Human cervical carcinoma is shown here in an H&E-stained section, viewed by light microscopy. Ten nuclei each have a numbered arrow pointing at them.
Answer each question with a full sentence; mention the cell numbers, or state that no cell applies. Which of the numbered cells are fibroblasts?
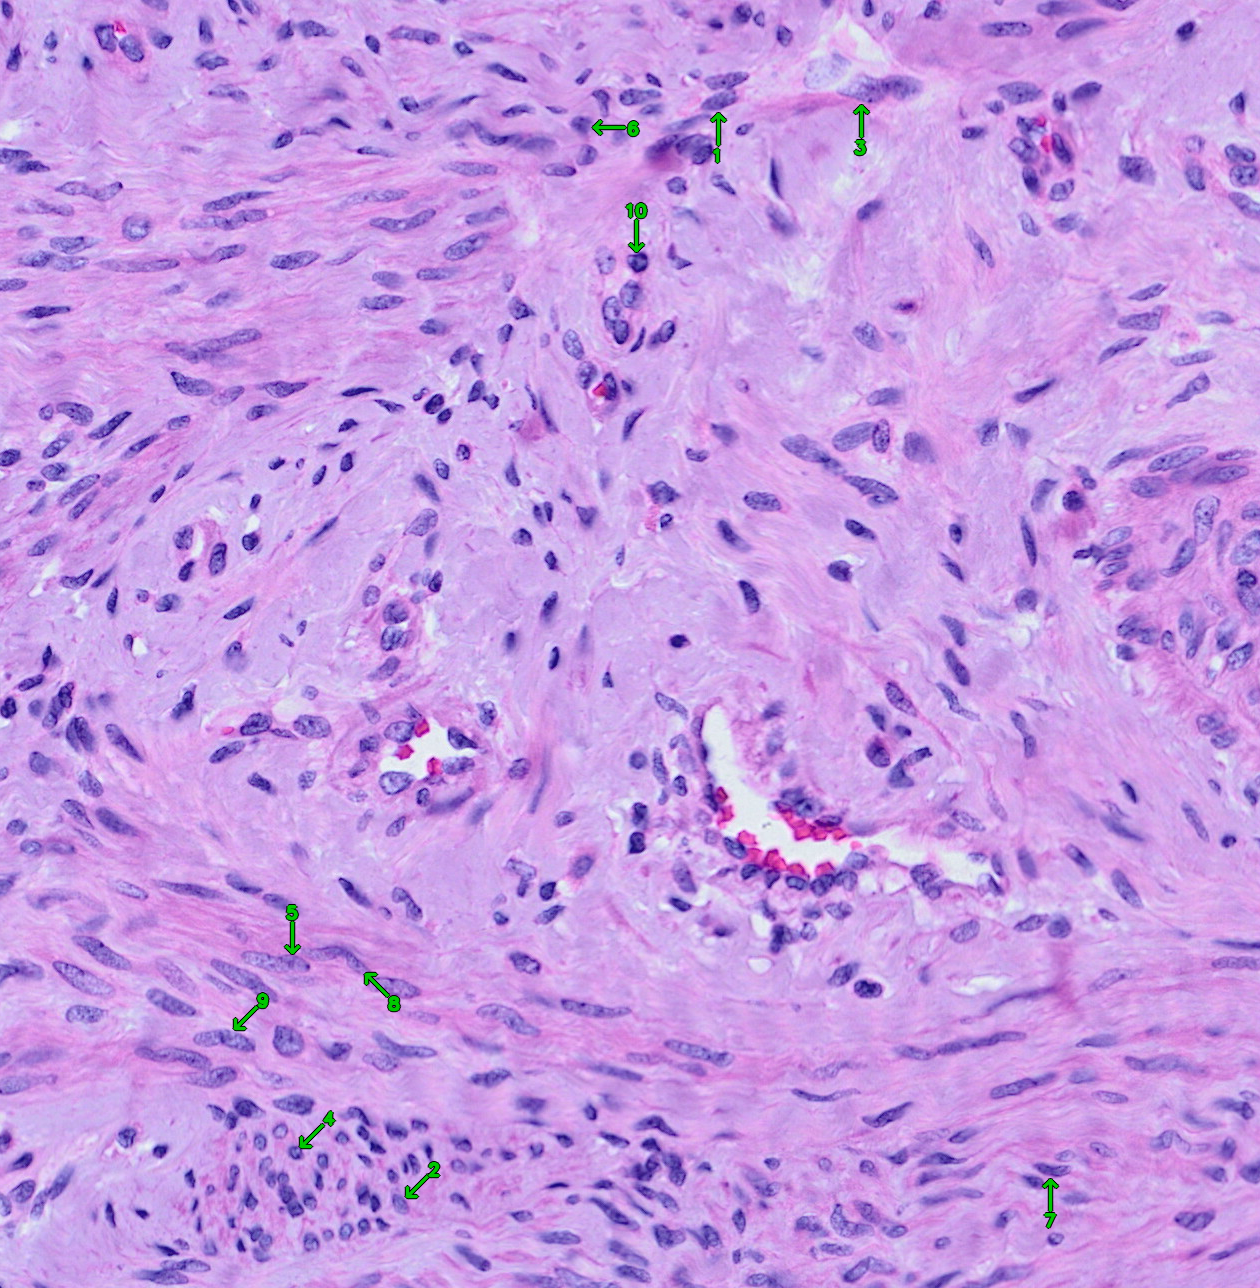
The cells with the numbers 1 and 6 are fibroblasts.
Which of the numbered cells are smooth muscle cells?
The cells marked with the numbers 2, 4, 5, 7, 8 and 9 are smooth muscle cells.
